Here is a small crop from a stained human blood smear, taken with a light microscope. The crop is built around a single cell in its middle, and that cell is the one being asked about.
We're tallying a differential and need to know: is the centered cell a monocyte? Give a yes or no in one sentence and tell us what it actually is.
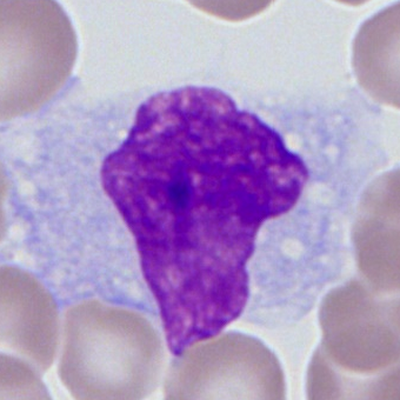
Yes, the cell shown centrally is a monocyte.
